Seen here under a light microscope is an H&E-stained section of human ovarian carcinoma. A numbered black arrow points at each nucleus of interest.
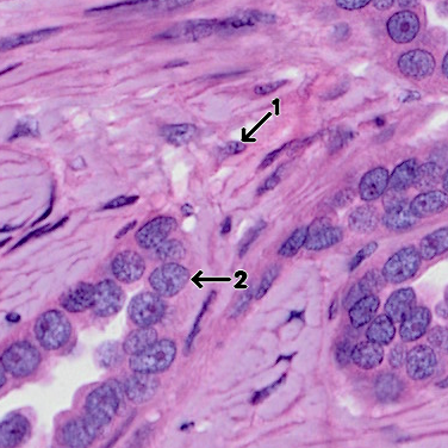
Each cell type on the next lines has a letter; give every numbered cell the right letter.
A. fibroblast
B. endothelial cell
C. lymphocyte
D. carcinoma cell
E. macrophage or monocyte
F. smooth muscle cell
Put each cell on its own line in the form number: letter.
1: A
2: D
